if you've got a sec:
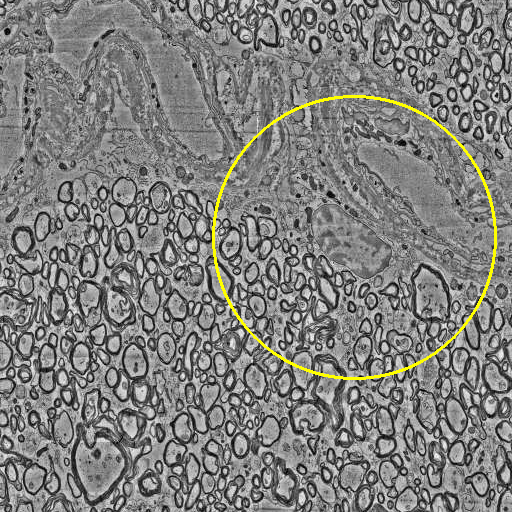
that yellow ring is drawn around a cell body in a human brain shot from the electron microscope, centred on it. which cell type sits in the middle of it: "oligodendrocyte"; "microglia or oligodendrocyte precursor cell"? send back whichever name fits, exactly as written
microglia or oligodendrocyte precursor cell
